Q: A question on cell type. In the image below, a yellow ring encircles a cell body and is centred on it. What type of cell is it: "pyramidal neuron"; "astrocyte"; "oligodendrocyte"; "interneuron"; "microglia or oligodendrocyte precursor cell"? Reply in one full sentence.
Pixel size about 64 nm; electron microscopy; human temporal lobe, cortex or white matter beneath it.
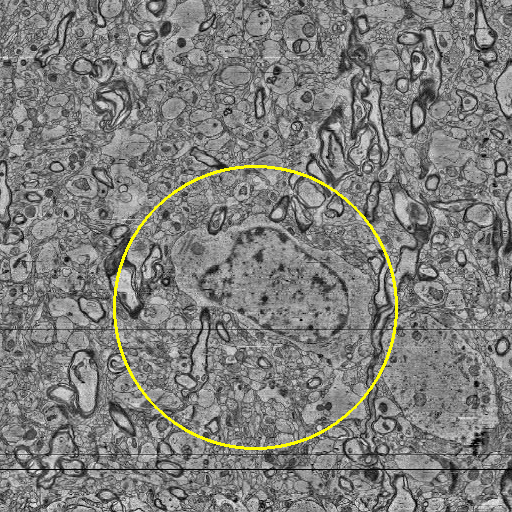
It is a microglial cell or oligodendrocyte precursor cell whose cell body sits at the centre of the yellow ring in the image.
